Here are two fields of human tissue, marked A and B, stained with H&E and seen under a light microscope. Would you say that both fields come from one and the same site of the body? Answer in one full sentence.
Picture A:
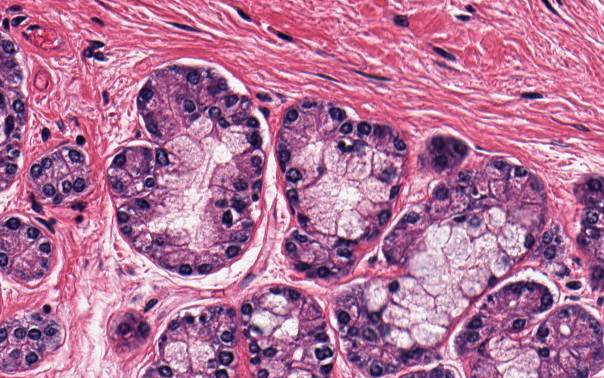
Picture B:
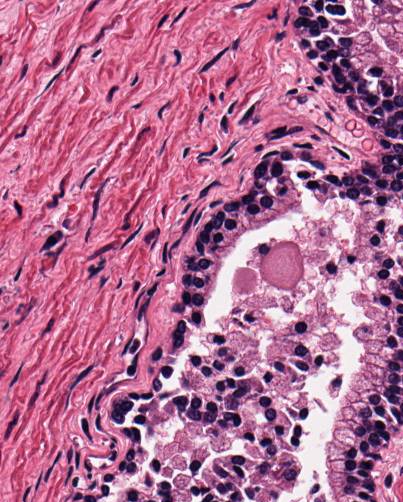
No: picture A comes from a minor salivary gland, but picture B comes from the prostate.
